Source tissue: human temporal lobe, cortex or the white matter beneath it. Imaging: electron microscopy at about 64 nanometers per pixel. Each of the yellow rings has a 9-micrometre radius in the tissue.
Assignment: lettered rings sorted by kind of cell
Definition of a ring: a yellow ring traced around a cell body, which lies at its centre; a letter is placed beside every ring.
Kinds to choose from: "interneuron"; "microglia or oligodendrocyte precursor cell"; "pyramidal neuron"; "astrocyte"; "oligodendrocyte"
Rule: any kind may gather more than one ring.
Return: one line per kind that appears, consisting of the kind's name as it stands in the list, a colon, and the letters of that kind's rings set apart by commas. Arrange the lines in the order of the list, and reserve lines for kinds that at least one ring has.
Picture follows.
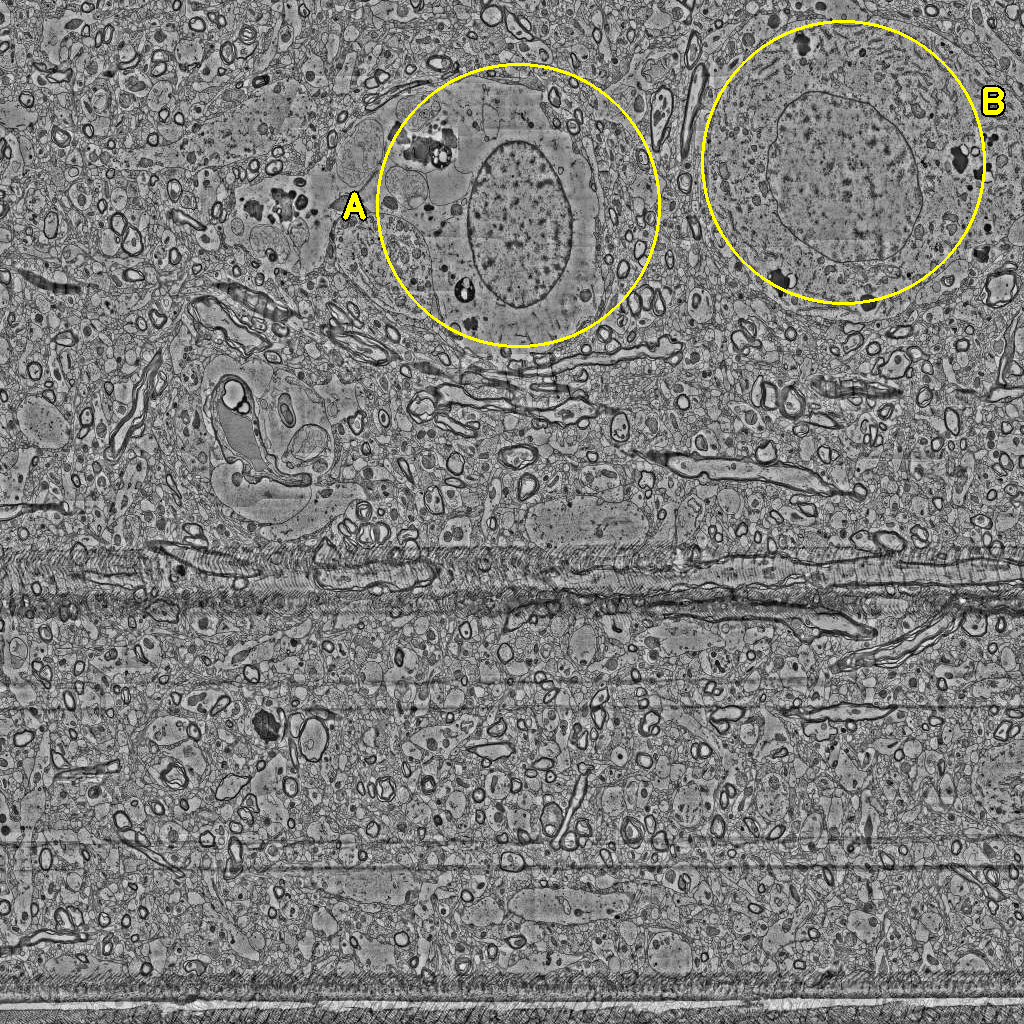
pyramidal neuron: B
astrocyte: A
